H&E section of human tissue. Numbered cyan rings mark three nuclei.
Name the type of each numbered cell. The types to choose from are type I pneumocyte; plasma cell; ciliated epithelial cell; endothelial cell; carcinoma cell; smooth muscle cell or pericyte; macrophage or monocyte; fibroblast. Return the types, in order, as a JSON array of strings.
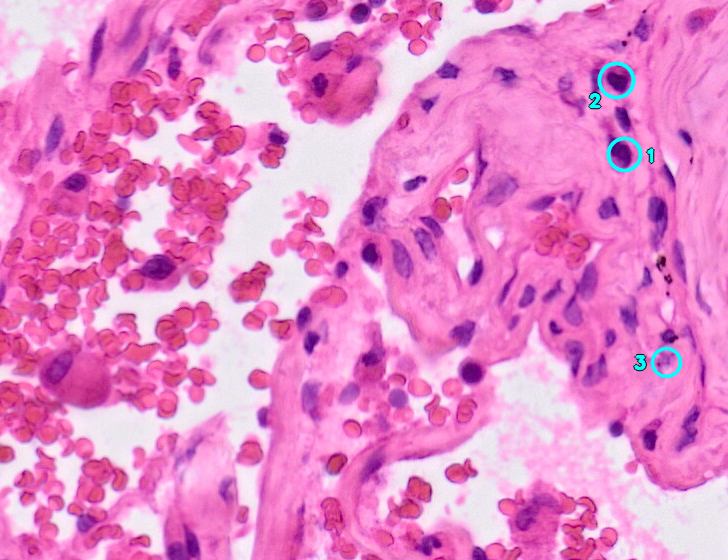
["plasma cell", "plasma cell", "fibroblast"]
